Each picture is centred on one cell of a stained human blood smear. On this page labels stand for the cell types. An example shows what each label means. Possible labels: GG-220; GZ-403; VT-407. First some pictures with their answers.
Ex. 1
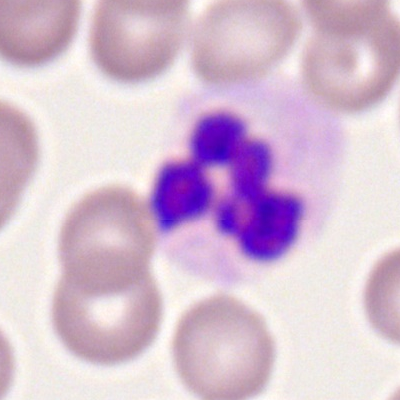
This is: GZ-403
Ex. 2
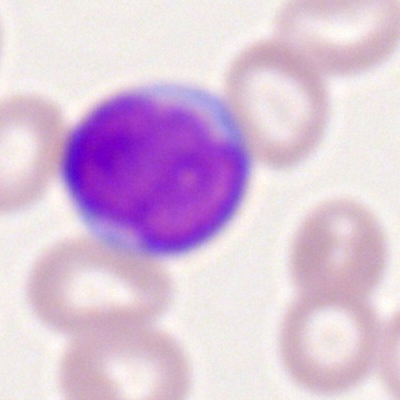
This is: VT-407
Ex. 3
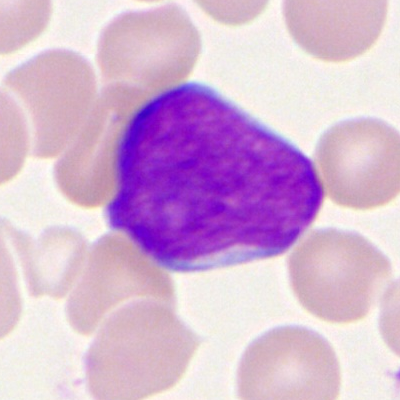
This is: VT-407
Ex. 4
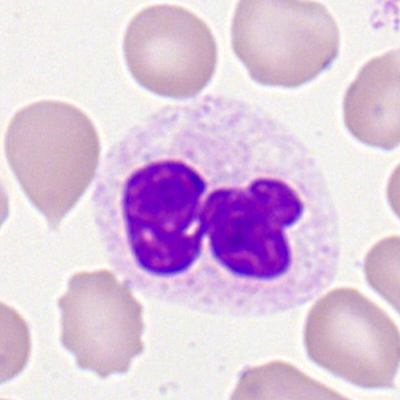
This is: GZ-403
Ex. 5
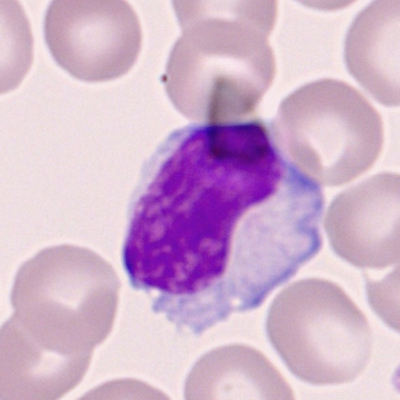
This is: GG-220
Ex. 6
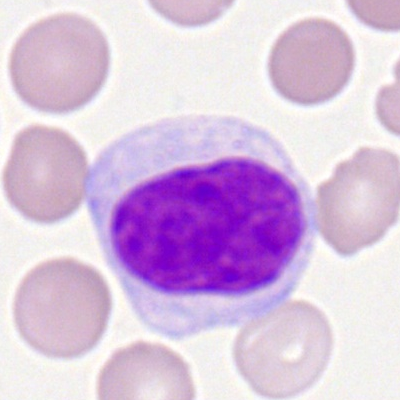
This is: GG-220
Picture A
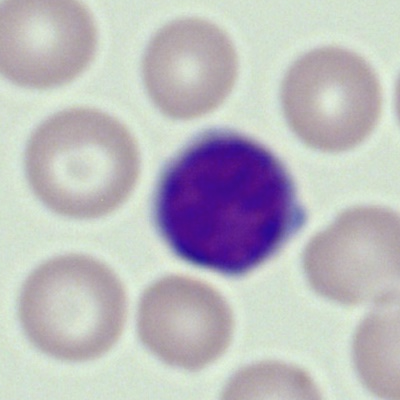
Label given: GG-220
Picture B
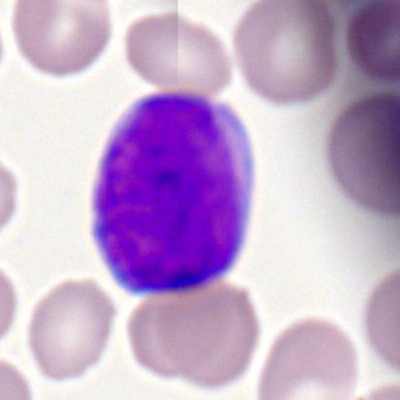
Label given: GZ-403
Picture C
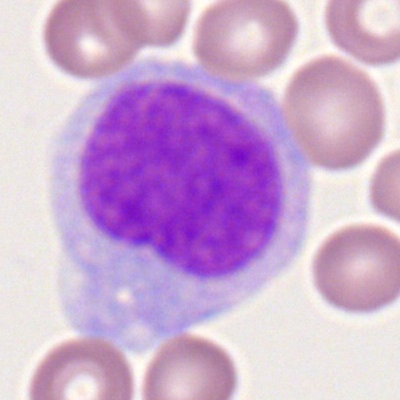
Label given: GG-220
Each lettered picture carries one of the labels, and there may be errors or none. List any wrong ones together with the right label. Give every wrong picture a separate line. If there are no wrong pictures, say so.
B should be VT-407, not GZ-403
C should be VT-407, not GG-220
